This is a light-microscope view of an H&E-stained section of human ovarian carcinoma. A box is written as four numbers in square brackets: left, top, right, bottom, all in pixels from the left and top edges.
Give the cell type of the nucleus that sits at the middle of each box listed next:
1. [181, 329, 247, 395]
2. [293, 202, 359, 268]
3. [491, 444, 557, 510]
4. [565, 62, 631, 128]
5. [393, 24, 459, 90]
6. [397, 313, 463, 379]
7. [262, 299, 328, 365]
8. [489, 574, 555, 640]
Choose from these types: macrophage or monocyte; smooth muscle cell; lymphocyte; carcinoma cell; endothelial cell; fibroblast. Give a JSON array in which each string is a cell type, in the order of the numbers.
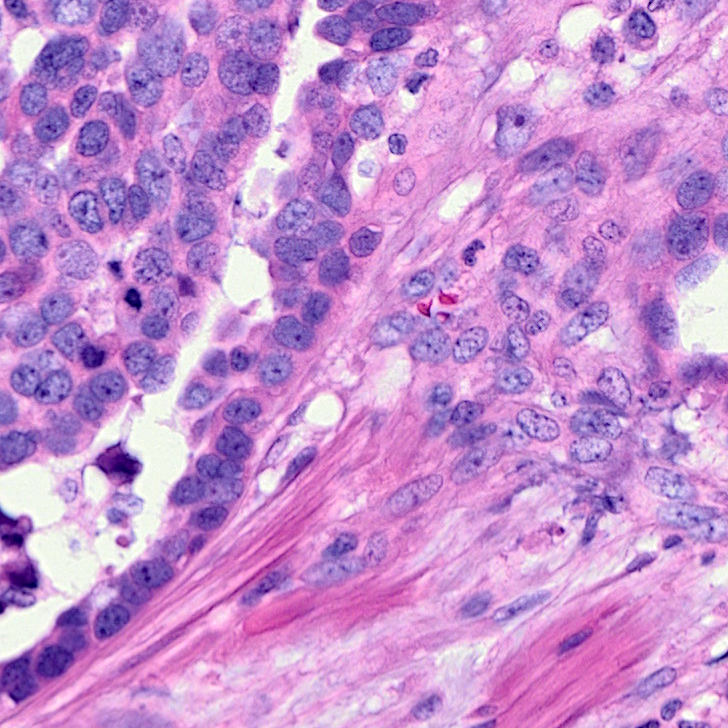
["carcinoma cell", "carcinoma cell", "fibroblast", "macrophage or monocyte", "macrophage or monocyte", "endothelial cell", "carcinoma cell", "fibroblast"]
